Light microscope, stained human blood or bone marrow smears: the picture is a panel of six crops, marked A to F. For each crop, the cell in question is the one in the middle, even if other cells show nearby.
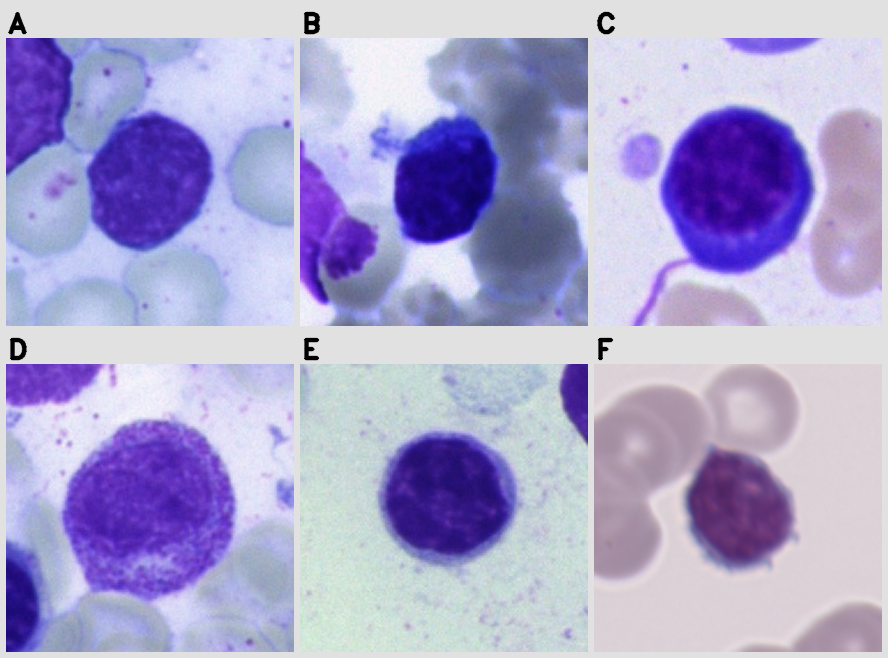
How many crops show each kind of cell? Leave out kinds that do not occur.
lymphocyte: 4
plasma cell: 1
myelocyte: 1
